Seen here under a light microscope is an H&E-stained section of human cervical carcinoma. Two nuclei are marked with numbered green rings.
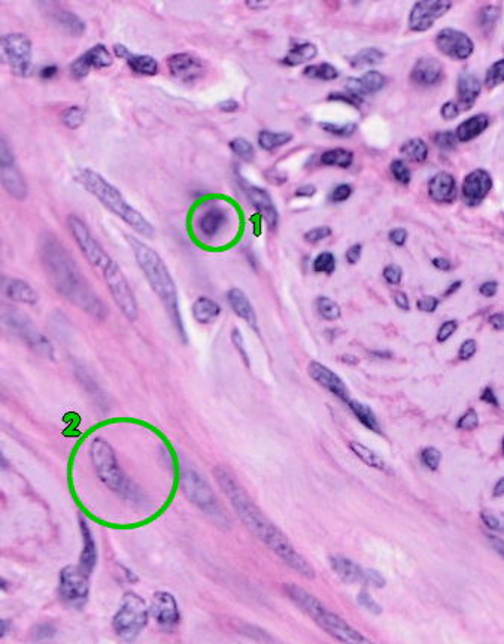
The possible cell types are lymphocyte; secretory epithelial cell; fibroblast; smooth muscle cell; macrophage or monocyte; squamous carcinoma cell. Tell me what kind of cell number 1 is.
lymphocyte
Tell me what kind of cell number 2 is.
smooth muscle cell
